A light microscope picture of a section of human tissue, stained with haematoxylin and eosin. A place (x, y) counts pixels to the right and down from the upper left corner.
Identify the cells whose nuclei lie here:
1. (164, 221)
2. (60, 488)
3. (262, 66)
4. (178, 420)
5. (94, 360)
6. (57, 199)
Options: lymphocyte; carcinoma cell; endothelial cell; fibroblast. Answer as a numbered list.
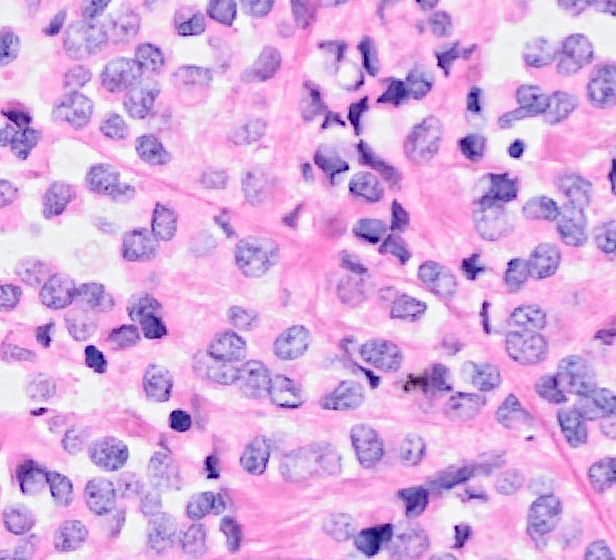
1. carcinoma cell
2. carcinoma cell
3. carcinoma cell
4. lymphocyte
5. lymphocyte
6. carcinoma cell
